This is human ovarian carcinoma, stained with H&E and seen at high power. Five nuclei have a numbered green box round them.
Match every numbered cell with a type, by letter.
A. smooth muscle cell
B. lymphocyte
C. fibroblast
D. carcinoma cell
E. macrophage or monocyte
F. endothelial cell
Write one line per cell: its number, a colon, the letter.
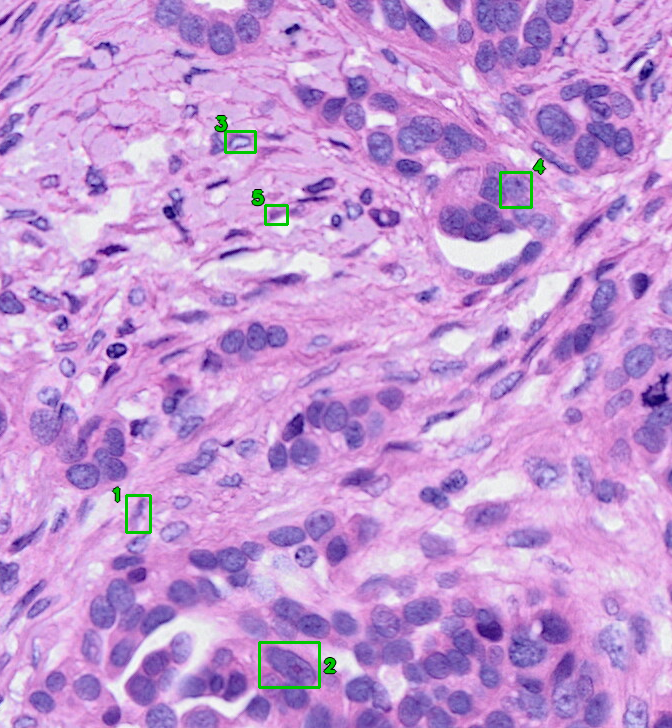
1: C
2: D
3: C
4: D
5: C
